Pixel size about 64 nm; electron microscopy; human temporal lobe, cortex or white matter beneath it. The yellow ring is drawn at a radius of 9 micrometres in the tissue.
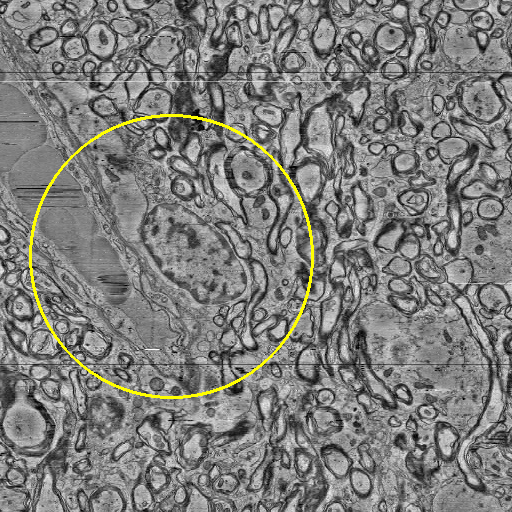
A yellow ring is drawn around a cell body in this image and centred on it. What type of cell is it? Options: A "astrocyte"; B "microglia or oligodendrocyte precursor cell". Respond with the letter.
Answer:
B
